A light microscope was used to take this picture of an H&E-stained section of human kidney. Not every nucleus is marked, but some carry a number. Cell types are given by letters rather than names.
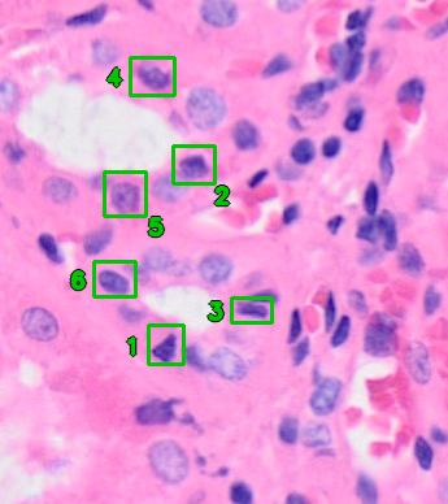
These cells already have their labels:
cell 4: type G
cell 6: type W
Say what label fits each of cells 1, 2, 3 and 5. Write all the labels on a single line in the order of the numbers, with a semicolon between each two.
type W; type G; type W; type G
